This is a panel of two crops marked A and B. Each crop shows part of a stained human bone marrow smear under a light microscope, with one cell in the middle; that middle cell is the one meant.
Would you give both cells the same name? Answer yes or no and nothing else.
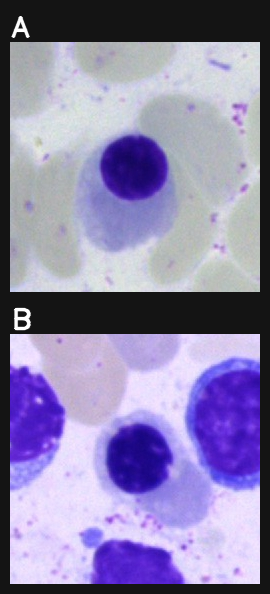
yes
